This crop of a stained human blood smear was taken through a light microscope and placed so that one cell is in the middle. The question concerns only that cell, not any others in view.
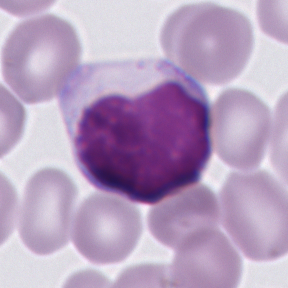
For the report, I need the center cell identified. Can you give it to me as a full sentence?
At the center of the crop sits a large granular lymphocyte.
